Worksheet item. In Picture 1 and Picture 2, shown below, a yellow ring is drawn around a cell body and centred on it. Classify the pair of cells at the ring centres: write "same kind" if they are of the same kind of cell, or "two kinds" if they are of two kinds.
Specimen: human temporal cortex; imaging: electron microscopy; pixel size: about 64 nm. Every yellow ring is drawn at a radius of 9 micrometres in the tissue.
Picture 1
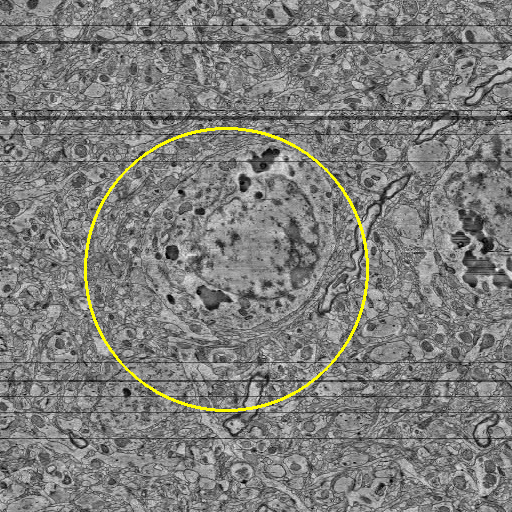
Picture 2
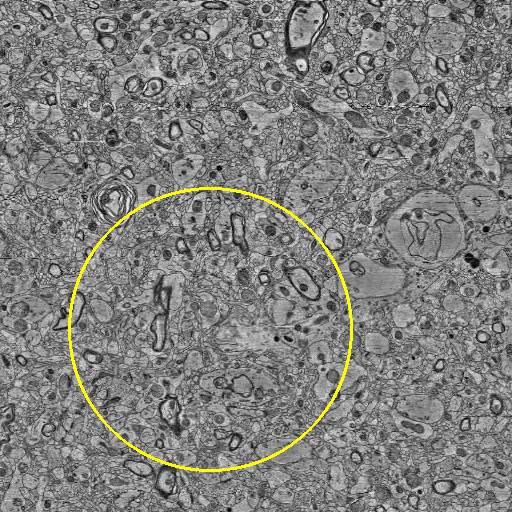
two kinds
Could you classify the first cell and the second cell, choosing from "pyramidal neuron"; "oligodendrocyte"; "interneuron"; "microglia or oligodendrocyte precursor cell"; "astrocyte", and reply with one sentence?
The second cell is a microglial cell or oligodendrocyte precursor cell, while the first is an interneuron.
